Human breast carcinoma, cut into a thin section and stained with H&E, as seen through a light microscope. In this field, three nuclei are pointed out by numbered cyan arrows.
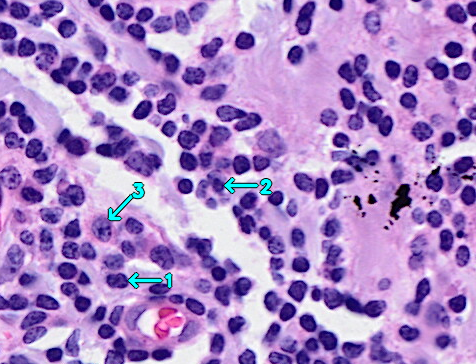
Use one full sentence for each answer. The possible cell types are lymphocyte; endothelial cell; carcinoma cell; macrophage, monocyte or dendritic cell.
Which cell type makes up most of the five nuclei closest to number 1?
The majority of the five nuclei closest to number 1 belong to lymphocytes.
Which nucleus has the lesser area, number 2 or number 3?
Number 2 is smaller, since number 3 takes up about 2 times as much area.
